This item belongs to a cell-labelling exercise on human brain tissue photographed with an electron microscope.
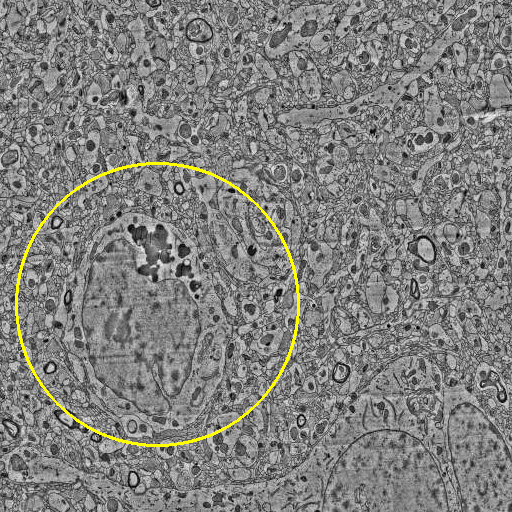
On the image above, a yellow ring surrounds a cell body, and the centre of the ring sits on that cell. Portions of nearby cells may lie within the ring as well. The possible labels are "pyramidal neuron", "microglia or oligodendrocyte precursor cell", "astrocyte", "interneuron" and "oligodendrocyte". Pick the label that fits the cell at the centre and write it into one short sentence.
This cell should be labelled as an interneuron.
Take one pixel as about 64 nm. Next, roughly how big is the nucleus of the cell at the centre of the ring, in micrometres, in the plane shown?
In this plane, roughly 10 by 8 micrometres.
